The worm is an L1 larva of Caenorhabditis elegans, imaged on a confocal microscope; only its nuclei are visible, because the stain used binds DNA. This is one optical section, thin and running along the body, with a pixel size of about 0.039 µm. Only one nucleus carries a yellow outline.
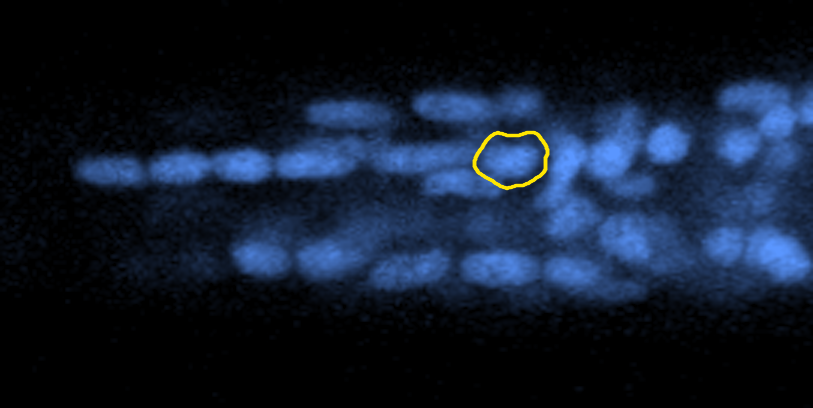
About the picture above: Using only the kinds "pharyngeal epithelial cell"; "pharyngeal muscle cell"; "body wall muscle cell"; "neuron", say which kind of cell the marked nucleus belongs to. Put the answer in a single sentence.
This is the nucleus of a neuron.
